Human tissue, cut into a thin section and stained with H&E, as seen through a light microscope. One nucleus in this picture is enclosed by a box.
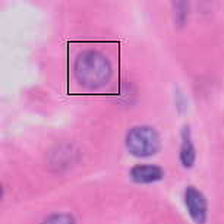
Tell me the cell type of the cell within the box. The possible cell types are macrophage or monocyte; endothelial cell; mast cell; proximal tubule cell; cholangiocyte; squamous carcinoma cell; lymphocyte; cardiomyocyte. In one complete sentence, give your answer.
The expected answer is simply that the cell within the box is a proximal tubule cell.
